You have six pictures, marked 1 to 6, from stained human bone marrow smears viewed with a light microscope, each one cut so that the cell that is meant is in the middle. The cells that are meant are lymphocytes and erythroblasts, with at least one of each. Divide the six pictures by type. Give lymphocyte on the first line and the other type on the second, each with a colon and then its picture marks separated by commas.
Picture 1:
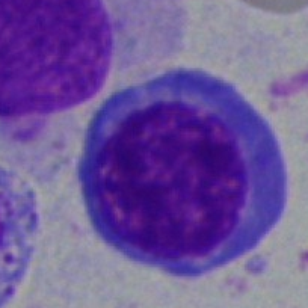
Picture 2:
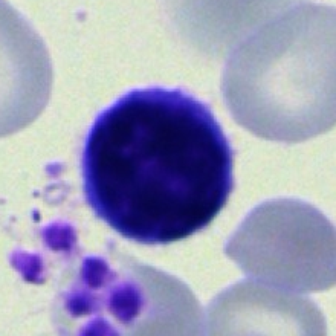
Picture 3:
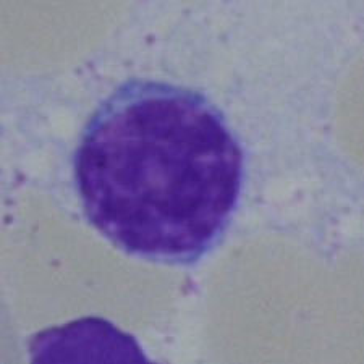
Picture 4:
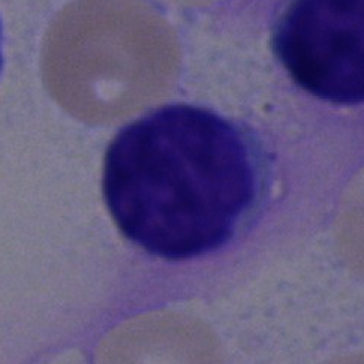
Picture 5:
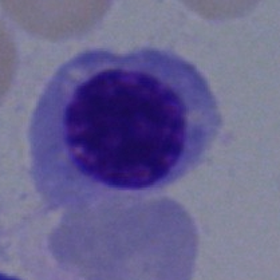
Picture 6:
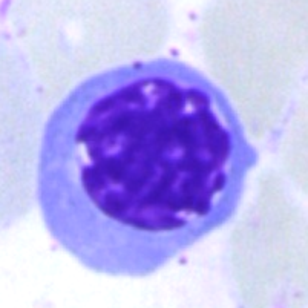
lymphocyte: 2, 3, 4
erythroblast: 1, 5, 6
